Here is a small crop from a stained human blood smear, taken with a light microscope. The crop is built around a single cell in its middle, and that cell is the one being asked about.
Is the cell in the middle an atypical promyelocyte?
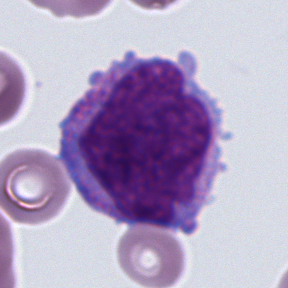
yes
